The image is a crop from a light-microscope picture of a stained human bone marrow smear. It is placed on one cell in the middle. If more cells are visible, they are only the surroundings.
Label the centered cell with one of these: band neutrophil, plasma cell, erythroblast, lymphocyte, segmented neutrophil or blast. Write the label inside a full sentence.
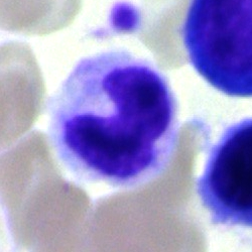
The cell at the central position in this crop is a band neutrophil.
